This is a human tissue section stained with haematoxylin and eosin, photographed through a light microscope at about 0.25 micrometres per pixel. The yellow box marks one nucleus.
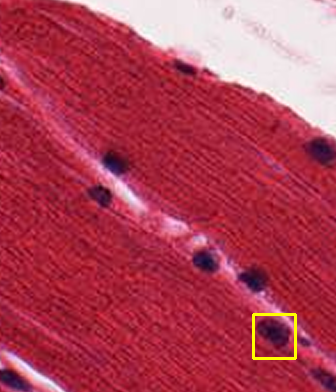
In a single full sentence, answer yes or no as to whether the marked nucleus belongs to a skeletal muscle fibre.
Yes, a skeletal muscle fibre is the cell to which the marked nucleus belongs.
